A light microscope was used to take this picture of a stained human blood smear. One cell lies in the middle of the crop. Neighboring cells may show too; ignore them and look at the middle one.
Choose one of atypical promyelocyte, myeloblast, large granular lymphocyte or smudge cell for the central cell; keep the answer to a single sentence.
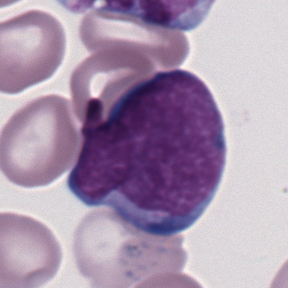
The central cell, amid any neighbouring cells, is a myeloblast.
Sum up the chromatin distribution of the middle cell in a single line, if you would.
No coarse chromatin clumps are present; the pattern is fine.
